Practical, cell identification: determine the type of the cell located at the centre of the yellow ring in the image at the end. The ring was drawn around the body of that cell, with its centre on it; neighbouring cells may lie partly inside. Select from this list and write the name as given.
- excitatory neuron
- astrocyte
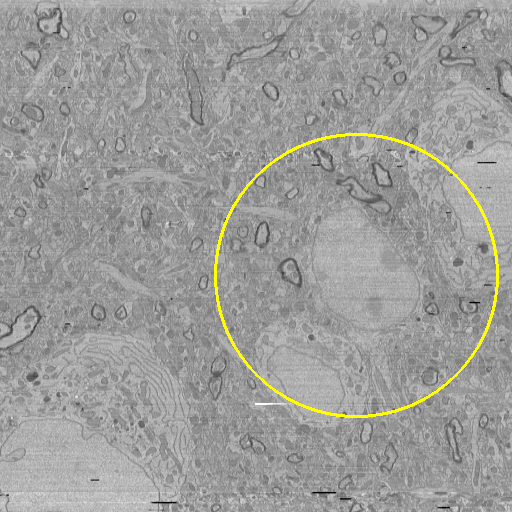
astrocyte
